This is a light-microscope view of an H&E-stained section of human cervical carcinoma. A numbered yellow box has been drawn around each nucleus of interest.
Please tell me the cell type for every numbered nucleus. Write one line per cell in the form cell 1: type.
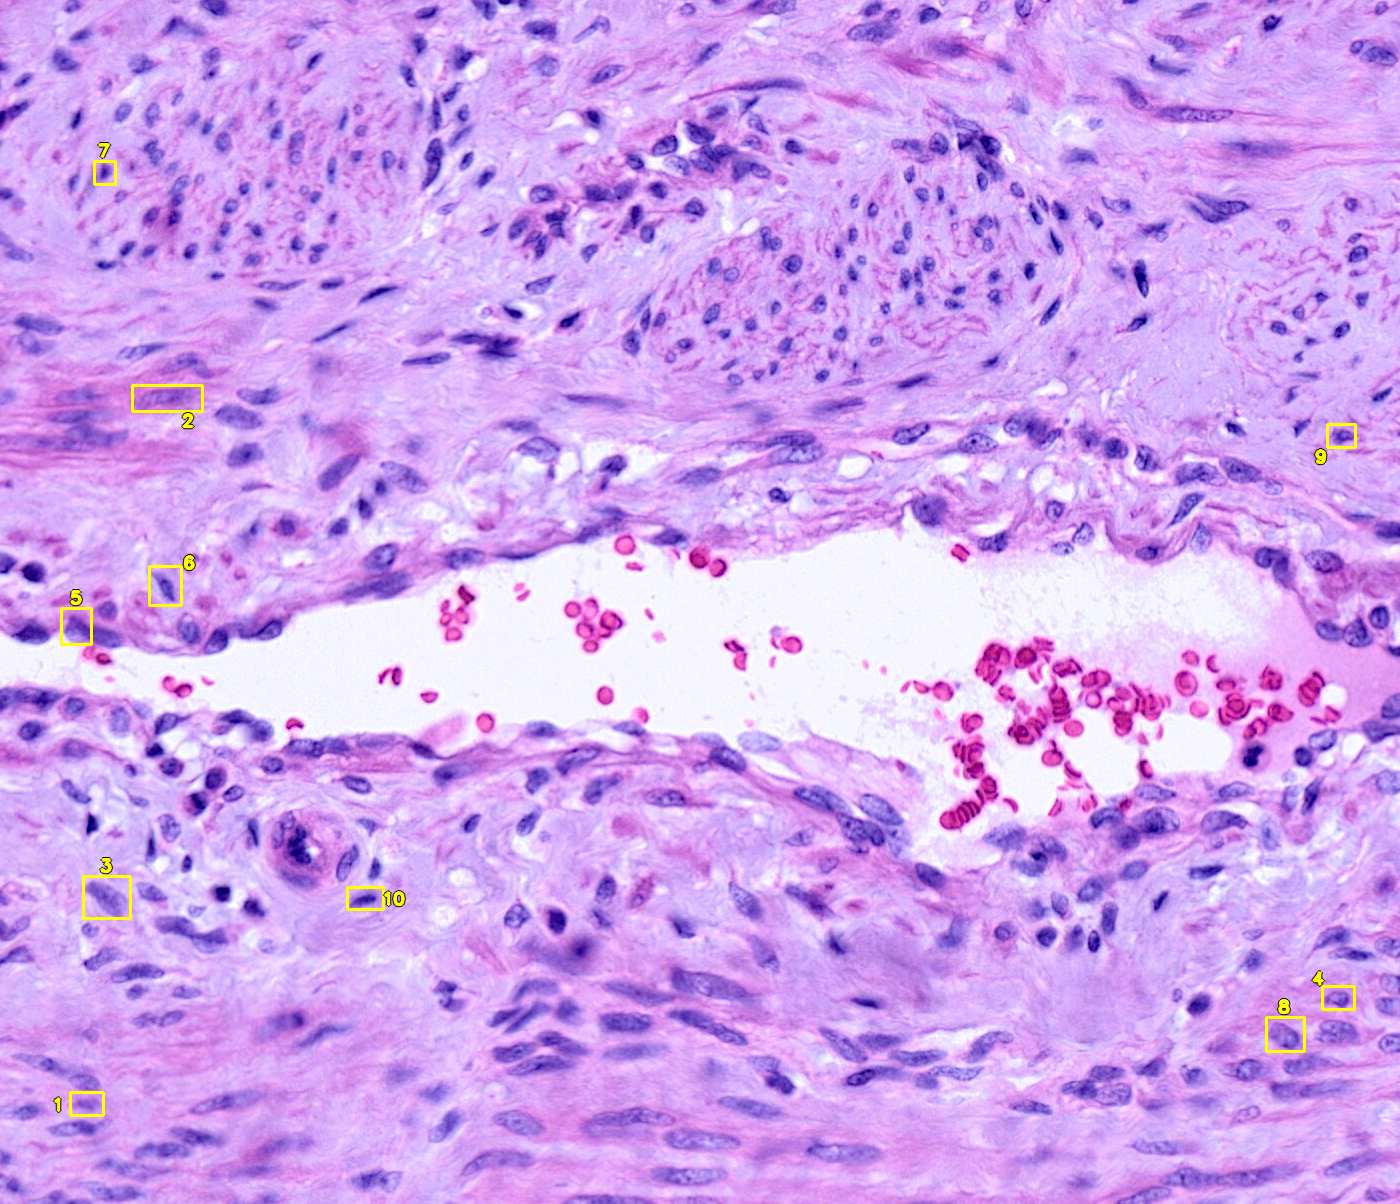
cell 1: smooth muscle cell
cell 2: smooth muscle cell
cell 3: fibroblast
cell 4: smooth muscle cell
cell 5: endothelial cell
cell 6: fibroblast
cell 7: smooth muscle cell
cell 8: smooth muscle cell
cell 9: smooth muscle cell
cell 10: fibroblast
